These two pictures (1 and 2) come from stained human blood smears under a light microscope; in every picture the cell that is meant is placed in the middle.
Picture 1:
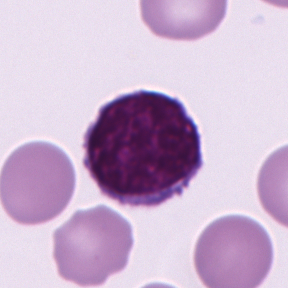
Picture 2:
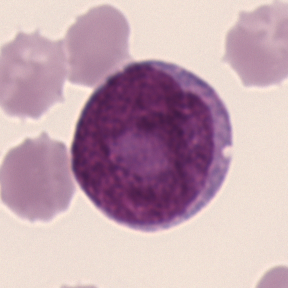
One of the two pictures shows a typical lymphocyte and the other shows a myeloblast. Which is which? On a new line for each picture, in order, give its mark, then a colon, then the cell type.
1: typical lymphocyte
2: myeloblast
